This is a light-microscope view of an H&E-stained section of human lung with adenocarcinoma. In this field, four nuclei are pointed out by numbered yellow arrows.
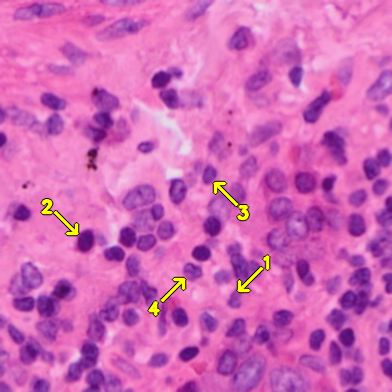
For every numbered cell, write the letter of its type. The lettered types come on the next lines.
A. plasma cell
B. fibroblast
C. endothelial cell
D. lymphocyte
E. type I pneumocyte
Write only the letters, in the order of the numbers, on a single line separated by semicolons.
D; A; D; D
